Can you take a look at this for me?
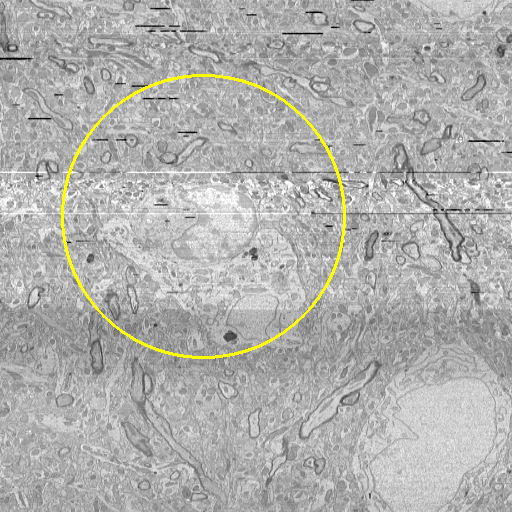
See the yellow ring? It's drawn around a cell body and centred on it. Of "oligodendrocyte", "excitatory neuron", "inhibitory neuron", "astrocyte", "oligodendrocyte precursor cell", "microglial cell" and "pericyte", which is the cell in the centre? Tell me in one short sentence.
The one in the centre is an oligodendrocyte.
